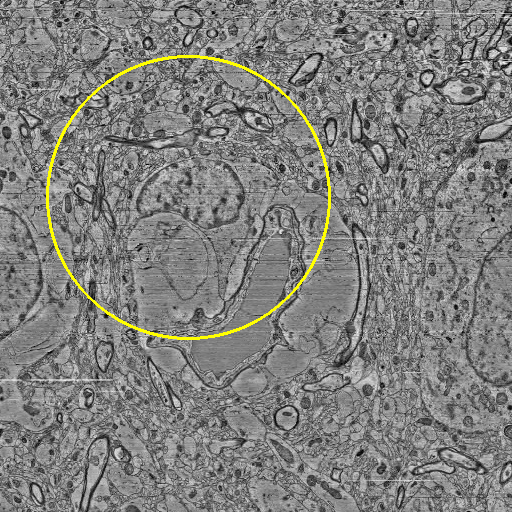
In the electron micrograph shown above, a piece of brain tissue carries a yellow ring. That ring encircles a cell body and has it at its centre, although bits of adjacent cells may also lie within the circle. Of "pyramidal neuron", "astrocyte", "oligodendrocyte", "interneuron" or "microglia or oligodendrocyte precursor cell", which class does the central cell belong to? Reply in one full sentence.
The cell body at the centre of the yellow ring belongs to a microglial cell or oligodendrocyte precursor cell.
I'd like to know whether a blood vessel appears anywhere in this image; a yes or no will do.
Yes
